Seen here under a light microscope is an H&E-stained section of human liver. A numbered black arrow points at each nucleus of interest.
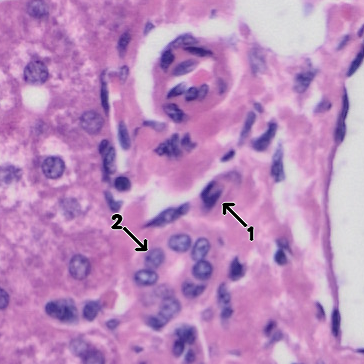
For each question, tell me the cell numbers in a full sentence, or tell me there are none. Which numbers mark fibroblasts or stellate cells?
Cell 1 is a fibroblast or stellate cell, and it is the only one.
